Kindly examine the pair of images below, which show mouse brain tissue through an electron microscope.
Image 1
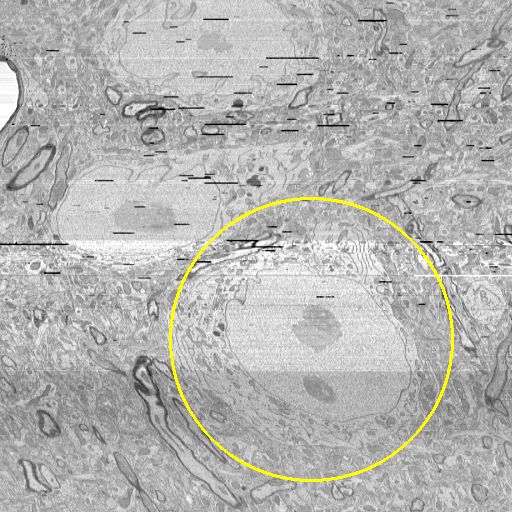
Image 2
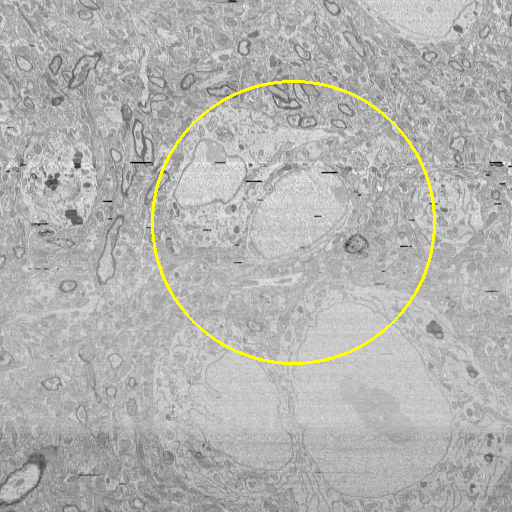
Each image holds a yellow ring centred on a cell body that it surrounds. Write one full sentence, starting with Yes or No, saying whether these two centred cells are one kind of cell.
No, the cells at the centres of the yellow rings belong to two kinds of cell.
